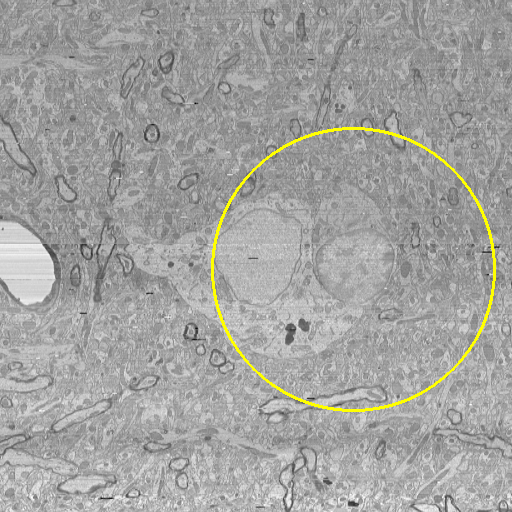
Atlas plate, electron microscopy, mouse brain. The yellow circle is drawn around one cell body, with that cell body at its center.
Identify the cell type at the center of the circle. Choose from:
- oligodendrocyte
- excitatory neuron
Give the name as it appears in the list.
oligodendrocyte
